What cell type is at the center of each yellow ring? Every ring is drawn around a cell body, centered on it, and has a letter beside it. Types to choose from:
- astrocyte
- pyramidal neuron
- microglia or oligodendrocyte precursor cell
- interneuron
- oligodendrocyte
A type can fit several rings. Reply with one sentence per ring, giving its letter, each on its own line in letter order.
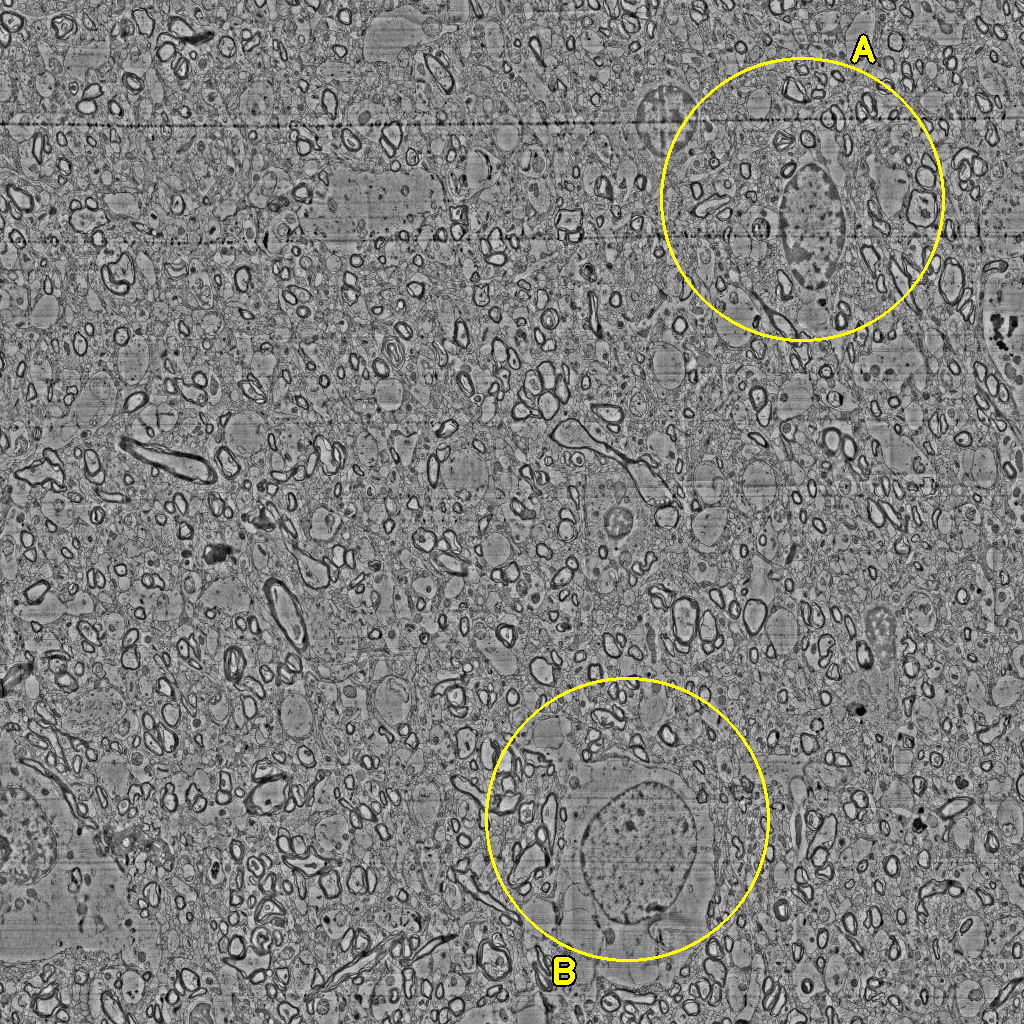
Ring A is placed around a microglial cell or oligodendrocyte precursor cell.
Ring B is placed around an astrocyte.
